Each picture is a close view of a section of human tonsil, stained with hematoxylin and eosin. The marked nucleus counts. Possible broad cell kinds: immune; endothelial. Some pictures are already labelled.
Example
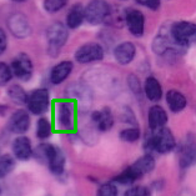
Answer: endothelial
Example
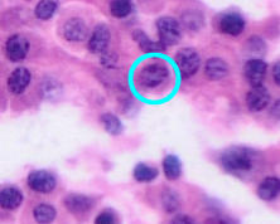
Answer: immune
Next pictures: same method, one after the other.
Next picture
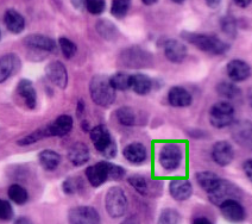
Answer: immune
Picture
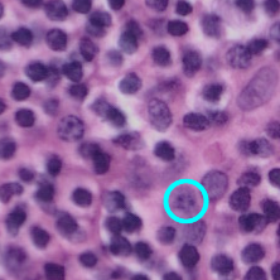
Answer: endothelial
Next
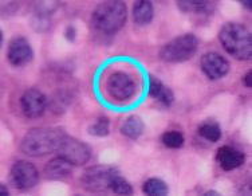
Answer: immune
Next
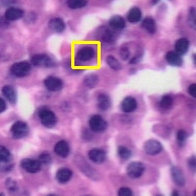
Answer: immune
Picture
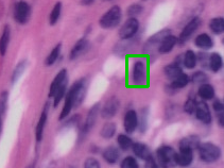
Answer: endothelial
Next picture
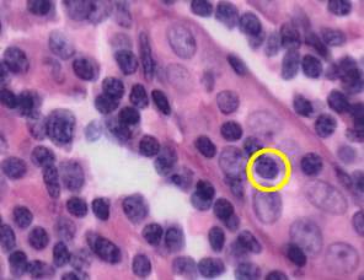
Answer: endothelial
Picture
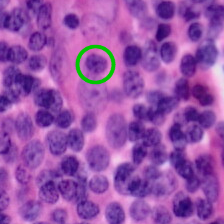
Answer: endothelial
